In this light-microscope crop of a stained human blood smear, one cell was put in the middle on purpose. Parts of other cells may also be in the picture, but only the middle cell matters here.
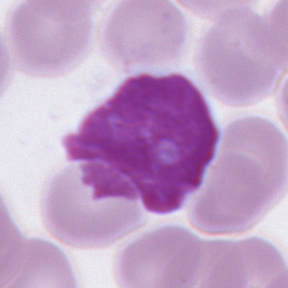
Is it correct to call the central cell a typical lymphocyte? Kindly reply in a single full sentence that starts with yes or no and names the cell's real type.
No, the cell found centrally in the crop is a smudge cell, not a typical lymphocyte.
